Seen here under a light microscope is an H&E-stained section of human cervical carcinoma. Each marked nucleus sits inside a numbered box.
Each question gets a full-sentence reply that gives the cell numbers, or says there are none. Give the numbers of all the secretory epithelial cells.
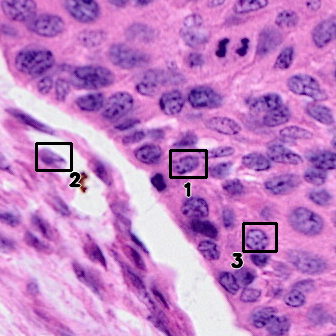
Found among the numbered cells are no secretory epithelial cells.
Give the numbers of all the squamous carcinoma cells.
The cells numbered 1 and 3 are typed as squamous carcinoma cells.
